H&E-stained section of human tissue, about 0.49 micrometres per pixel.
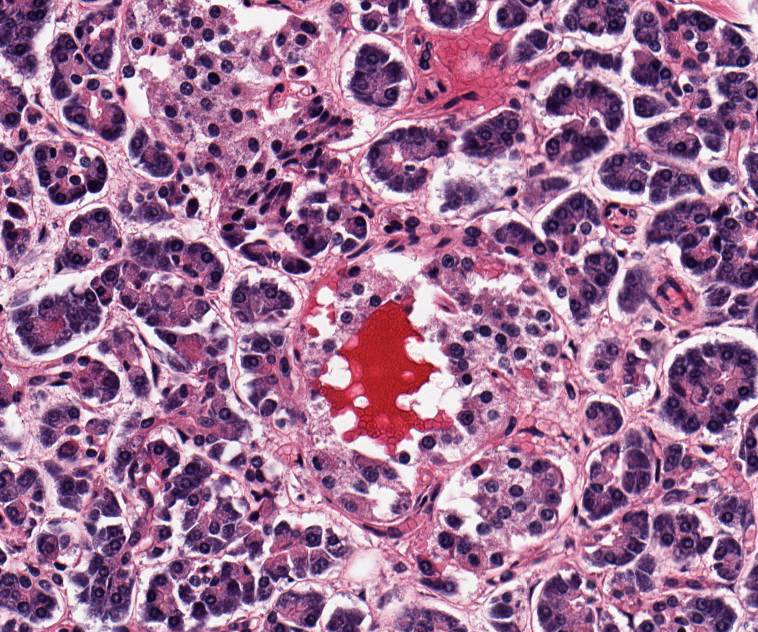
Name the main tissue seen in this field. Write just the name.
exocrine pancreas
